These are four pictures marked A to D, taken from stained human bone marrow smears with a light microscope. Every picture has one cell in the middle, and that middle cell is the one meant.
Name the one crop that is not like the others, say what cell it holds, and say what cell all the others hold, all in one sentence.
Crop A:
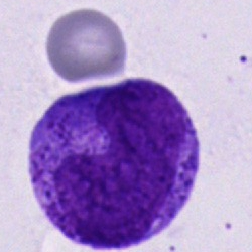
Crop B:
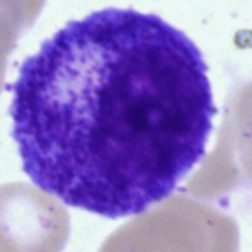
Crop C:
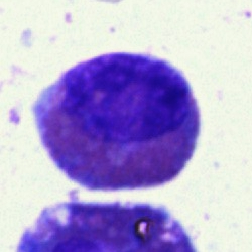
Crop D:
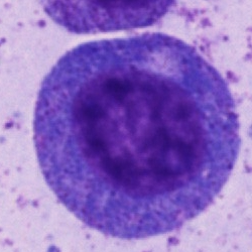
The crop that differs is crop C, showing an eosinophil; the others show promyelocytes.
